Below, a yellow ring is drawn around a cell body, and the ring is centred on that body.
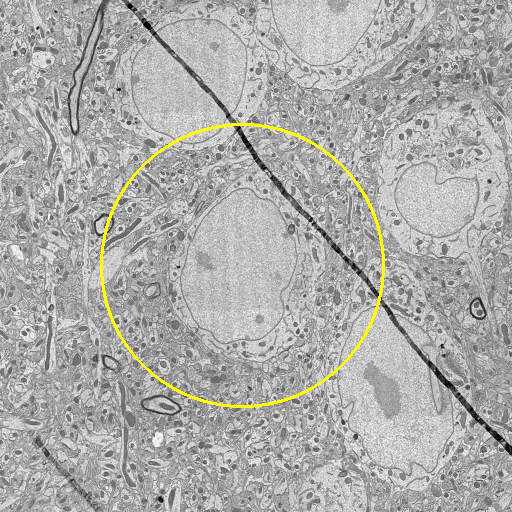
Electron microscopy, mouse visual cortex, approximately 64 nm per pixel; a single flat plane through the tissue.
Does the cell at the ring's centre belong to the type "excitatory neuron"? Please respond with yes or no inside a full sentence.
Yes, the centred cell inside the ring shown in the picture is of this type.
